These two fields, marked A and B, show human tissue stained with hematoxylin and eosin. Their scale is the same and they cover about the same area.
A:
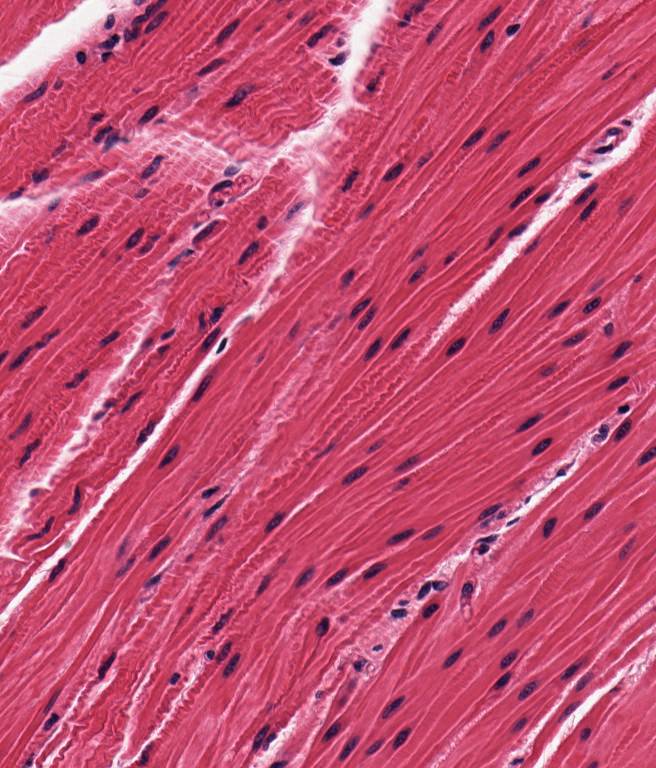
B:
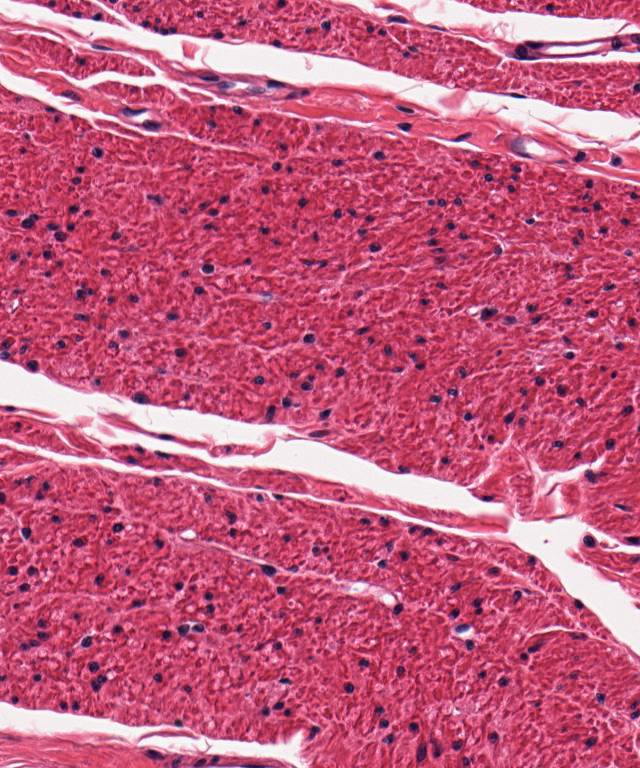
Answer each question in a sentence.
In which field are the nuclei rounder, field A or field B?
The nuclei are rounder in field B.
